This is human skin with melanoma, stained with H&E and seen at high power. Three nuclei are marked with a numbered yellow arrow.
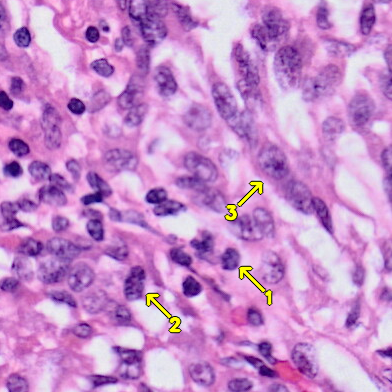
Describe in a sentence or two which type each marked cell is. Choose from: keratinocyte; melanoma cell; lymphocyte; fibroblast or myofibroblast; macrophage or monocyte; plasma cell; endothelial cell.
Cell 1 is a lymphocyte, cell 2 is a melanoma cell and cell 3 is a melanoma cell.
